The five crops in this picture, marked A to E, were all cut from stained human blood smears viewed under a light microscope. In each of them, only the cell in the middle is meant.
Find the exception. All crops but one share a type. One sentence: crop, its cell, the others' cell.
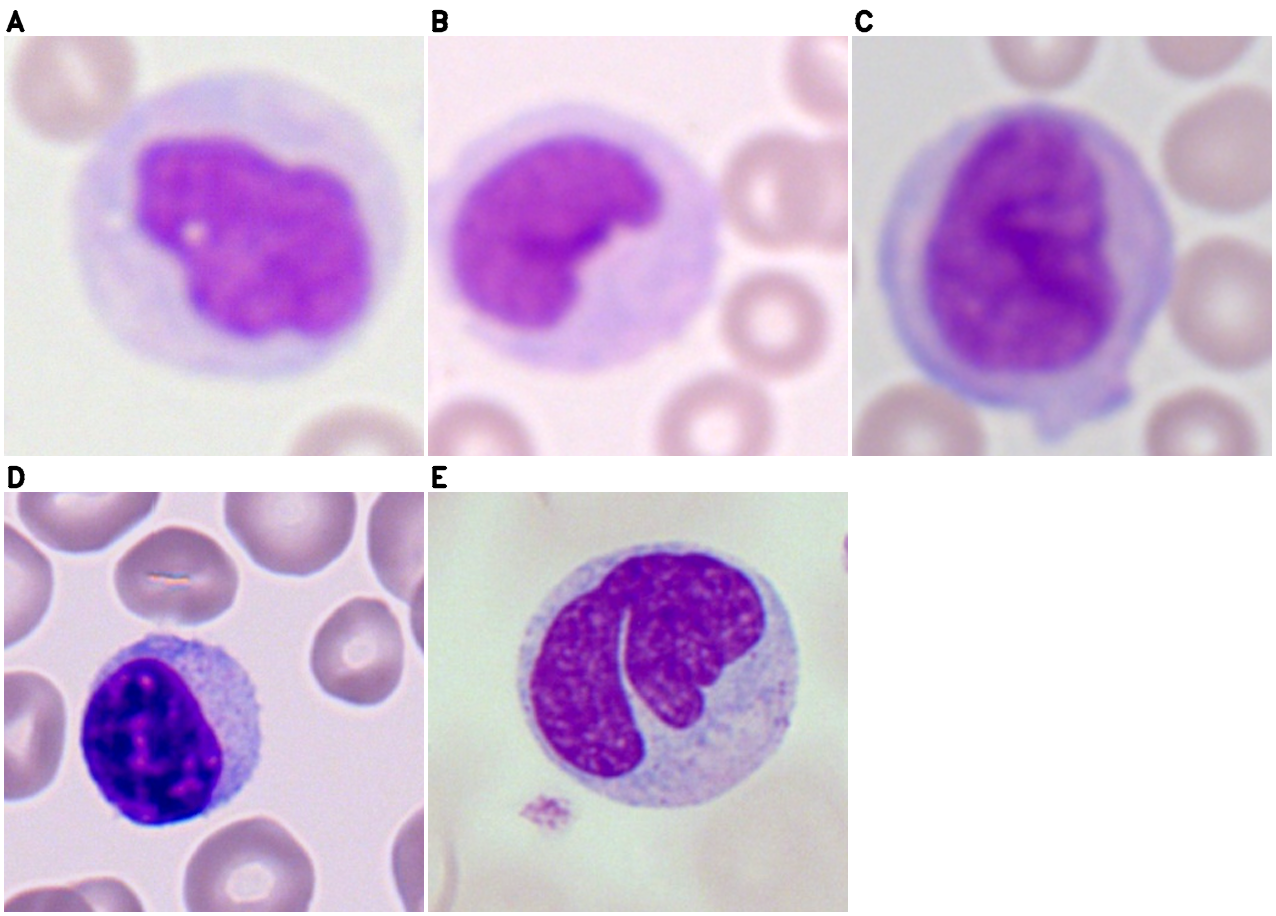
The pattern of monocytes across the crops is broken only by crop D, which shows a lymphocyte.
